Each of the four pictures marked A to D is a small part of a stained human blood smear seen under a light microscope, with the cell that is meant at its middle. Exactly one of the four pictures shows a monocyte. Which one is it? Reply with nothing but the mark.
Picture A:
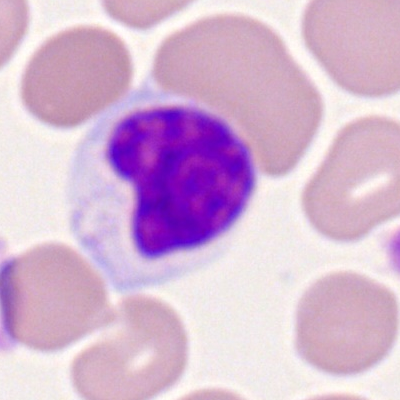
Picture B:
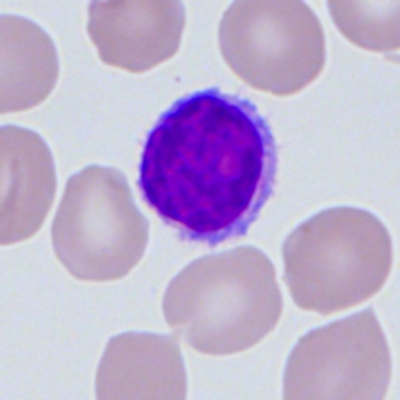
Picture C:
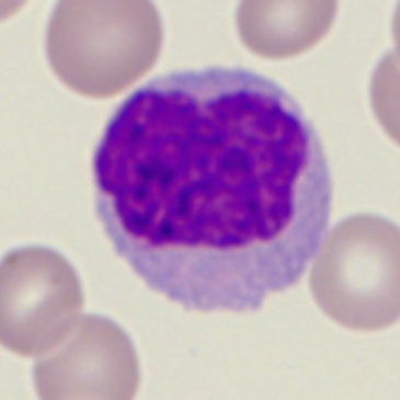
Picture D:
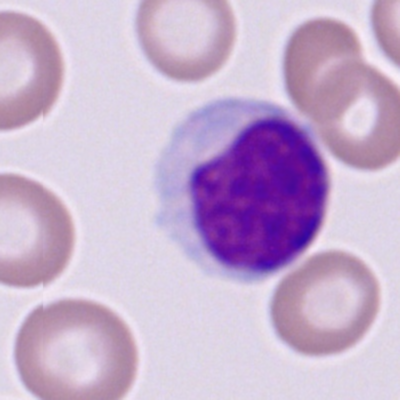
C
